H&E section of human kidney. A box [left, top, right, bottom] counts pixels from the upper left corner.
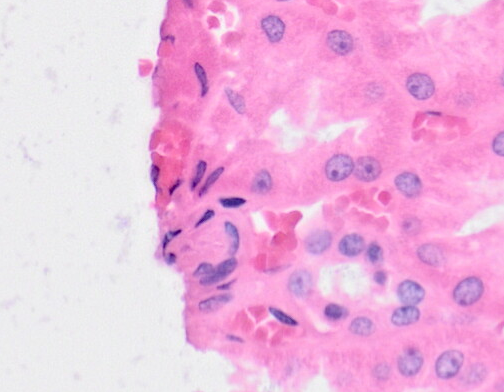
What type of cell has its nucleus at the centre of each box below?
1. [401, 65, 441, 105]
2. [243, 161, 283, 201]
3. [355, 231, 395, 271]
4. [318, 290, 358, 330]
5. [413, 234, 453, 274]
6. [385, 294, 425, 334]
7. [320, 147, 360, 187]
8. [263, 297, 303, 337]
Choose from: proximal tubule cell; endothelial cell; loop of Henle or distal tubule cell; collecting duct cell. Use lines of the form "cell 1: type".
cell 1: proximal tubule cell
cell 2: proximal tubule cell
cell 3: collecting duct cell
cell 4: collecting duct cell
cell 5: proximal tubule cell
cell 6: collecting duct cell
cell 7: proximal tubule cell
cell 8: endothelial cell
